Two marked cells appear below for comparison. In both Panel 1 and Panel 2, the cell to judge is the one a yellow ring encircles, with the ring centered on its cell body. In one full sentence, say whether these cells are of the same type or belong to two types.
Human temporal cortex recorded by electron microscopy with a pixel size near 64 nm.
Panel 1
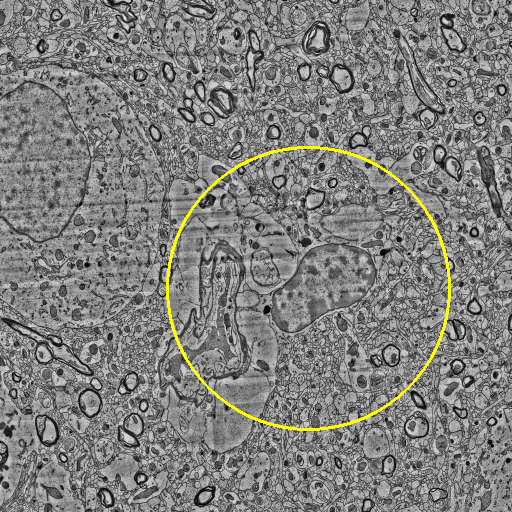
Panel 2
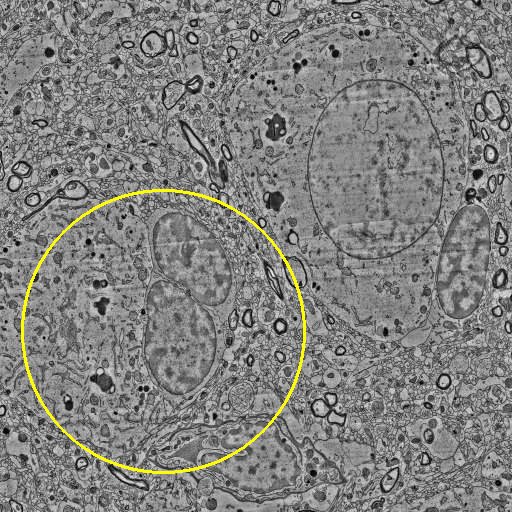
The cell centered in the Panel 1 ring and the one in Panel 2 belong to two types.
